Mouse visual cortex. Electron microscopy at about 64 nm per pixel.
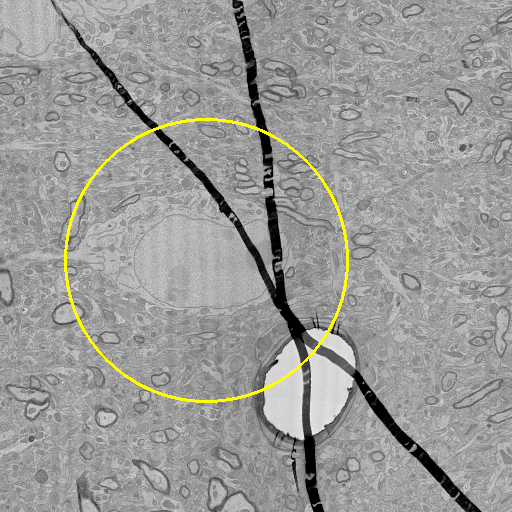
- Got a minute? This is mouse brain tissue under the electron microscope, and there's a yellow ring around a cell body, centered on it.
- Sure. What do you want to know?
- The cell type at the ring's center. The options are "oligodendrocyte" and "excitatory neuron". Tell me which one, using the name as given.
excitatory neuron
